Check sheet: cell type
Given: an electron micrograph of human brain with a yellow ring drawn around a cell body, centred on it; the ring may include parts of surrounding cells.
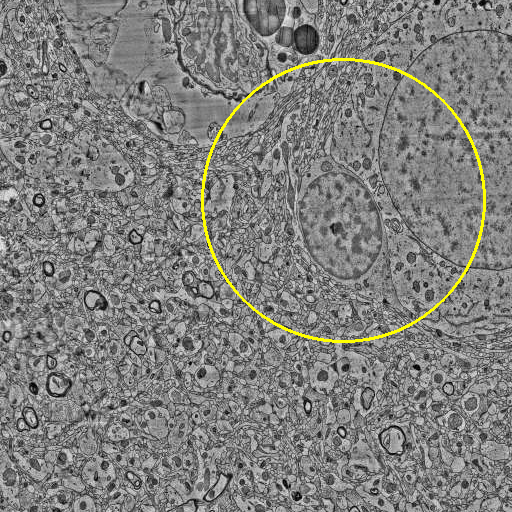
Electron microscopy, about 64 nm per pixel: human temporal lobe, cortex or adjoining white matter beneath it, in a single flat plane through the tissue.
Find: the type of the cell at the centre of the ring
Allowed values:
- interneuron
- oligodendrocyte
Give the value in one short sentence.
Here the ringed cell is an oligodendrocyte.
